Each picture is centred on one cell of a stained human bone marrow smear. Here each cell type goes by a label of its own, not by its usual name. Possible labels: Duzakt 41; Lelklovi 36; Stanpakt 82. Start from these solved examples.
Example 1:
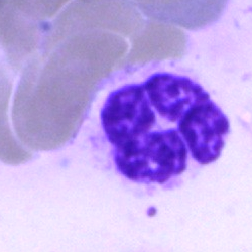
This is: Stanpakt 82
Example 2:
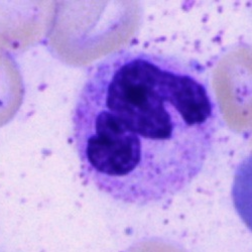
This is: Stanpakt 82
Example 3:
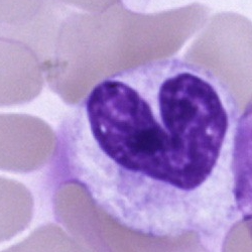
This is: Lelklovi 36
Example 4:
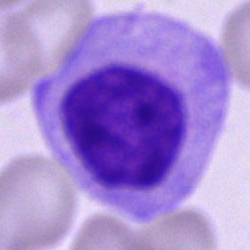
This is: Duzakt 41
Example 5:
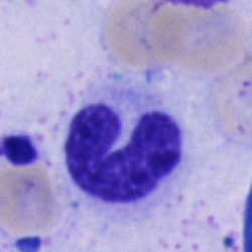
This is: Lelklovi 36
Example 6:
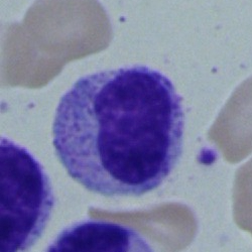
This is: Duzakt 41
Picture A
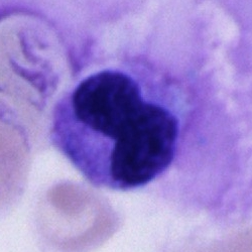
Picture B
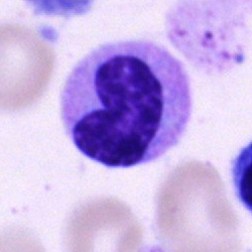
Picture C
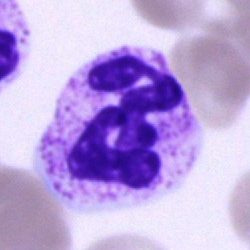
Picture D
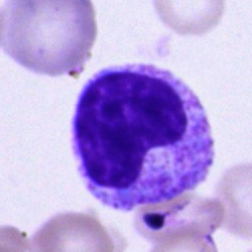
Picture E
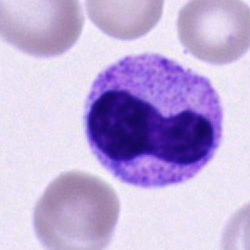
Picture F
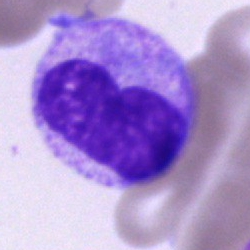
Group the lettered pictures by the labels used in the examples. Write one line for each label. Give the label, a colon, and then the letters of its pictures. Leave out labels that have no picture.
Duzakt 41: B, D, F
Lelklovi 36: A, E
Stanpakt 82: C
